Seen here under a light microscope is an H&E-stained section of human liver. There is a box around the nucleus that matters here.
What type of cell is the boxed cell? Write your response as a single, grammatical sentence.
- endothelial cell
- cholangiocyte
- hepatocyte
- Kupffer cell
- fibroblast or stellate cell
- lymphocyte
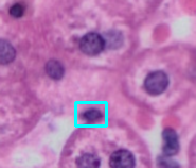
Labelled by cell type, the boxed cell is a fibroblast or stellate cell.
